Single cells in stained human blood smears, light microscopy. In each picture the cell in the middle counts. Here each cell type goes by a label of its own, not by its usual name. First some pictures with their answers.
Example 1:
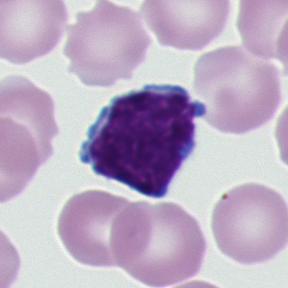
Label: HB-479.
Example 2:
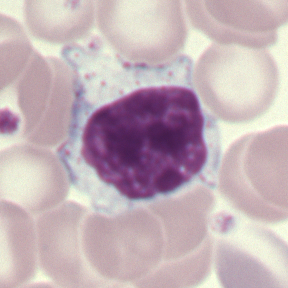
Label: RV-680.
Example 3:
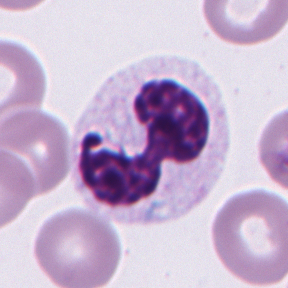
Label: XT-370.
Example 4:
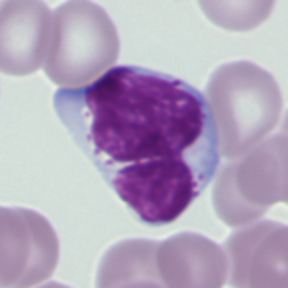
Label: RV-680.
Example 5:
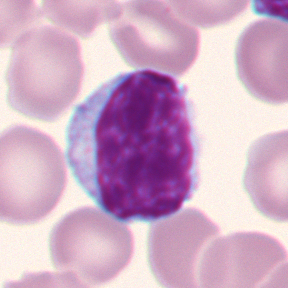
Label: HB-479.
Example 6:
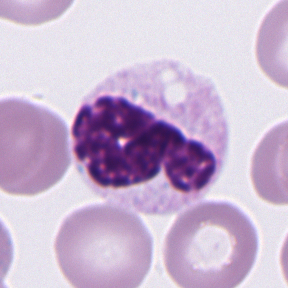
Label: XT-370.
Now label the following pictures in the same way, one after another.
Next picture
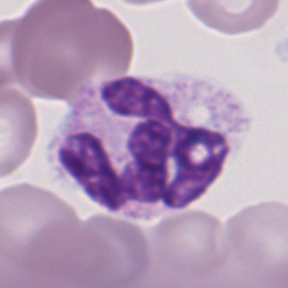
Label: XT-370.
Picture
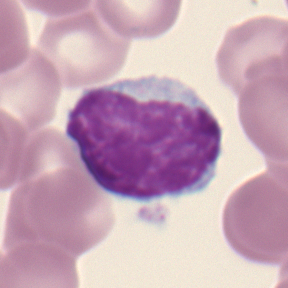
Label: HB-479.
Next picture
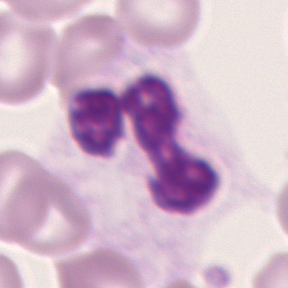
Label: XT-370.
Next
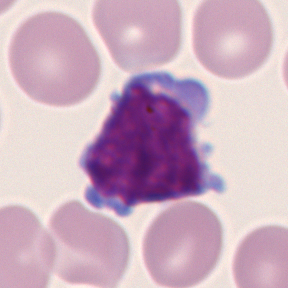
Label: HB-479.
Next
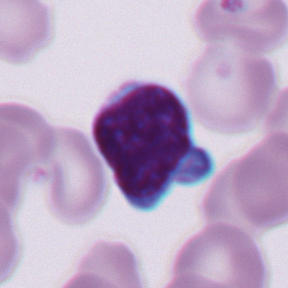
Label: HB-479.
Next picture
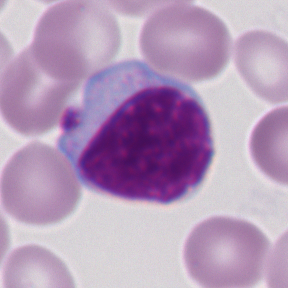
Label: RV-680.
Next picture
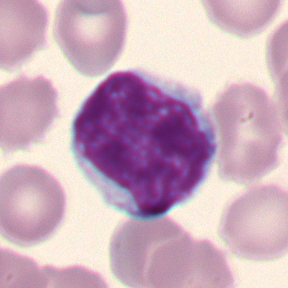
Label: HB-479.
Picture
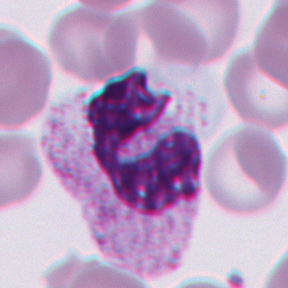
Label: XT-370.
